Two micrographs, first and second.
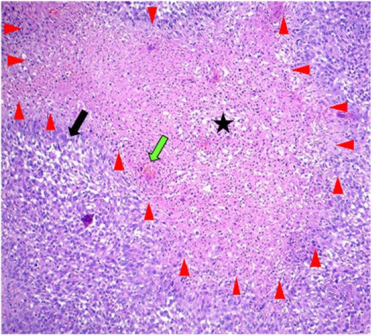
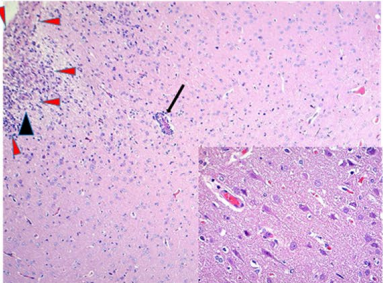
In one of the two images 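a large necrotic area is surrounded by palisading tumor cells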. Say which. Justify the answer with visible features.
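Second image: mostly pale brain tissue with a cellular zone at one edge and no necrotic area. First image: a broad pale pink zone ringed by densely packed dark nuclei. The answer: the first image.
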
